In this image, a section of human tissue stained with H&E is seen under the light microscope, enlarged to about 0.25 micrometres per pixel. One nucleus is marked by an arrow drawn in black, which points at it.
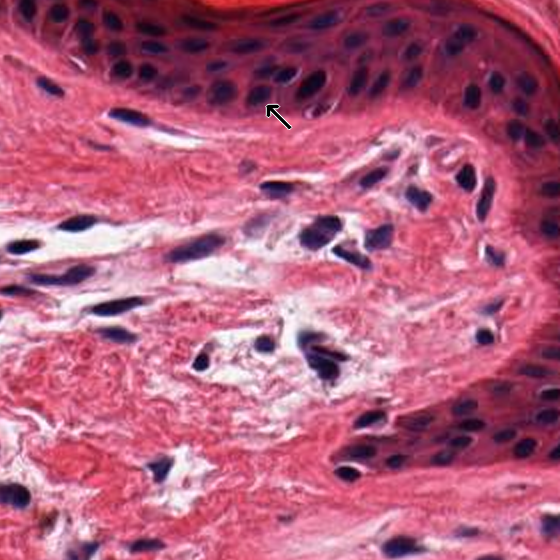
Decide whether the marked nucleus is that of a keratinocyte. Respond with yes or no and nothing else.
yes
